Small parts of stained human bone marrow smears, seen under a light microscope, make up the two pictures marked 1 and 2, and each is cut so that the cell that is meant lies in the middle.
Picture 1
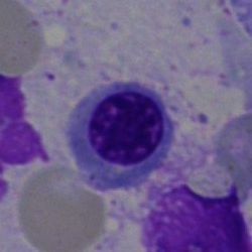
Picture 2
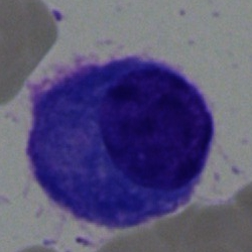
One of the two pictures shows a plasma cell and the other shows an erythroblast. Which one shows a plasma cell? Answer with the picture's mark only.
2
